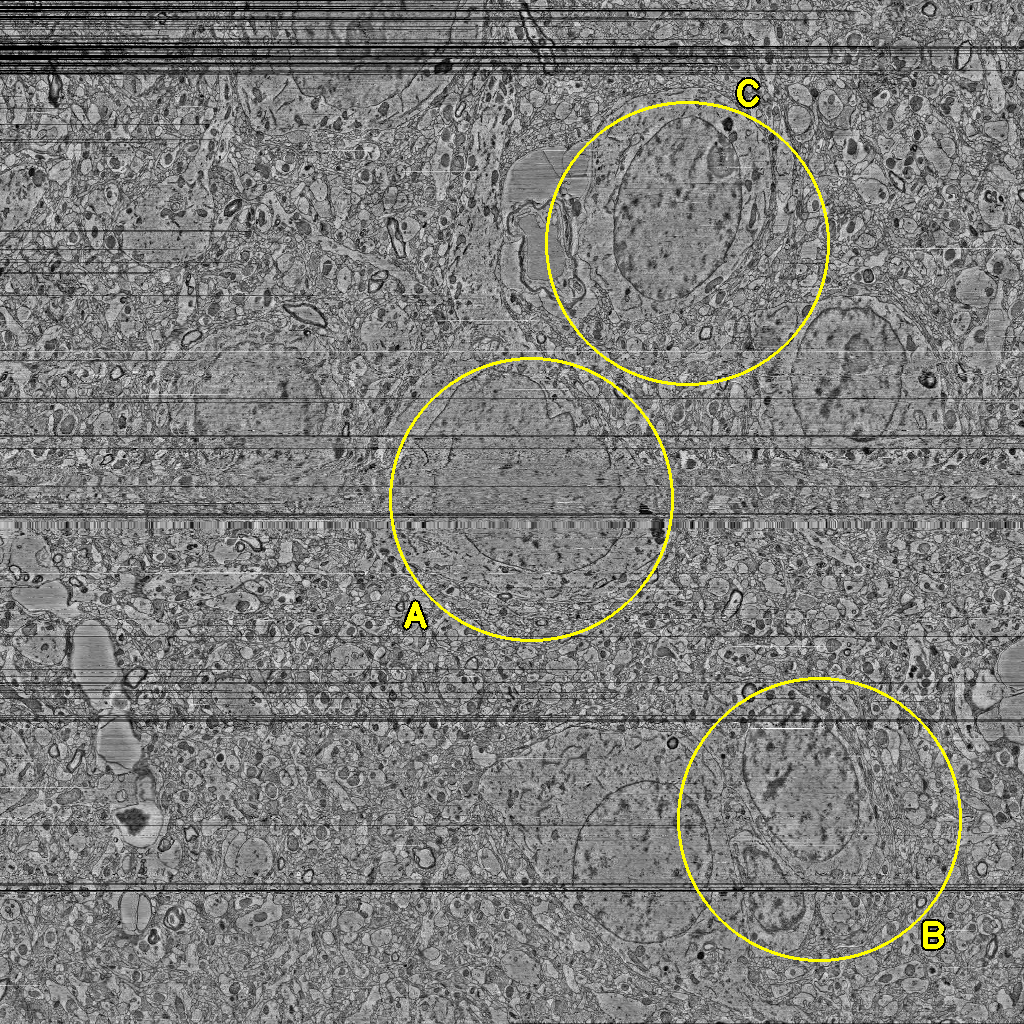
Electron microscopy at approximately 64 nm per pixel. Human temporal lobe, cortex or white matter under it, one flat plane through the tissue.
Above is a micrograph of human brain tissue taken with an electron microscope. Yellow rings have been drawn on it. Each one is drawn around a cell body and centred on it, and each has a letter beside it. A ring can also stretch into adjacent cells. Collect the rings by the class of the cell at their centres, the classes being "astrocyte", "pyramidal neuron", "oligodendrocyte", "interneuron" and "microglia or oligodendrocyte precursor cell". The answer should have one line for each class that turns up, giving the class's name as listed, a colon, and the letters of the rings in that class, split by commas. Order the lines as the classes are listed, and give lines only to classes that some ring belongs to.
pyramidal neuron: A, B, C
